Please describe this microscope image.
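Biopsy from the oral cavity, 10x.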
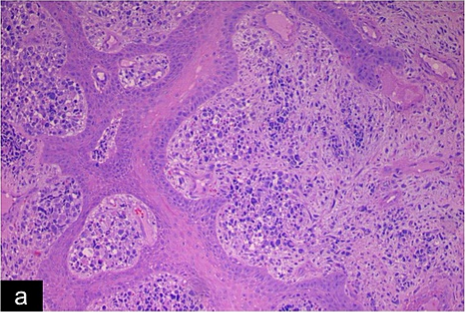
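This section shows hyperplastic squamous epithelium forming broad, branching pink bands of stratified cells. Loose stroma with small vessels is seen at the upper right between the epithelial bands.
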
